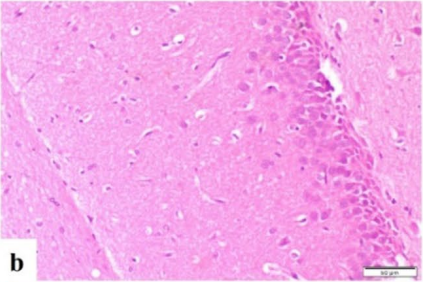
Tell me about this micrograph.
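Hippocampal tissue with a curved, densely packed band of pyramidal neurons at the right beside a pale pink fibrillar neuropil. The neurons are rounded to triangular with pink cytoplasm and pale round nuclei, while small scattered glial nuclei and thin capillaries lie in the neuropil.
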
